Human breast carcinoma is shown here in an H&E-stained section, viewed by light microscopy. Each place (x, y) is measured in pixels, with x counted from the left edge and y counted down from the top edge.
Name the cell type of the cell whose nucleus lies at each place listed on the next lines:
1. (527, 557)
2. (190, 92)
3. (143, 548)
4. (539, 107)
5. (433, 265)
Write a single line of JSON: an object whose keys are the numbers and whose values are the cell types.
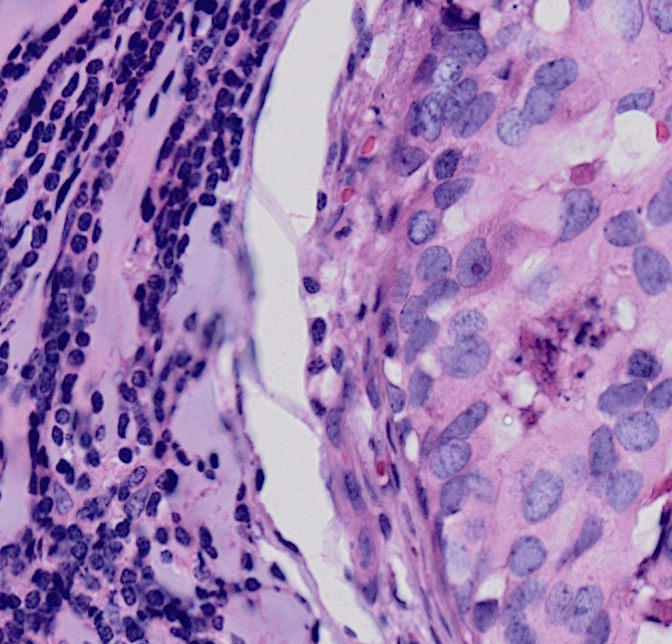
{"1": "carcinoma cell", "2": "lymphocyte", "3": "lymphocyte", "4": "carcinoma cell", "5": "carcinoma cell"}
